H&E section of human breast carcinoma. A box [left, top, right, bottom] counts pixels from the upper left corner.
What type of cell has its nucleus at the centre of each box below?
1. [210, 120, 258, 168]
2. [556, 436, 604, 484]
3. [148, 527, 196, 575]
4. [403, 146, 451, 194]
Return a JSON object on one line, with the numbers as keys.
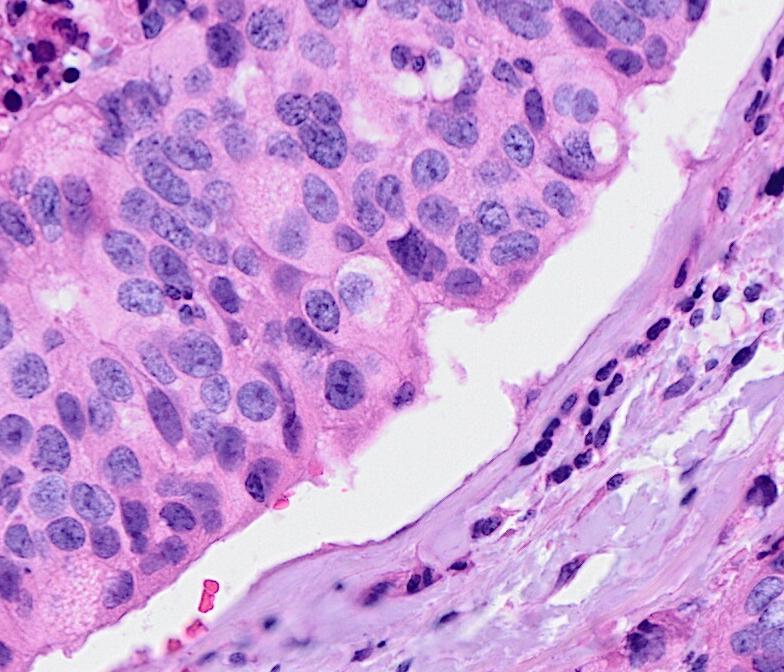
{"1": "carcinoma cell", "2": "lymphocyte", "3": "carcinoma cell", "4": "carcinoma cell"}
